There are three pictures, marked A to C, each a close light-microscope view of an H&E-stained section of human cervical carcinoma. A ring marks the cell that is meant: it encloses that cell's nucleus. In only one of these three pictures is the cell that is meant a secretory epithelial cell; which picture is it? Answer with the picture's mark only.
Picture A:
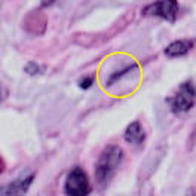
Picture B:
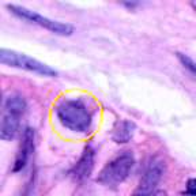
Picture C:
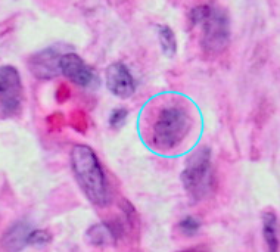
B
